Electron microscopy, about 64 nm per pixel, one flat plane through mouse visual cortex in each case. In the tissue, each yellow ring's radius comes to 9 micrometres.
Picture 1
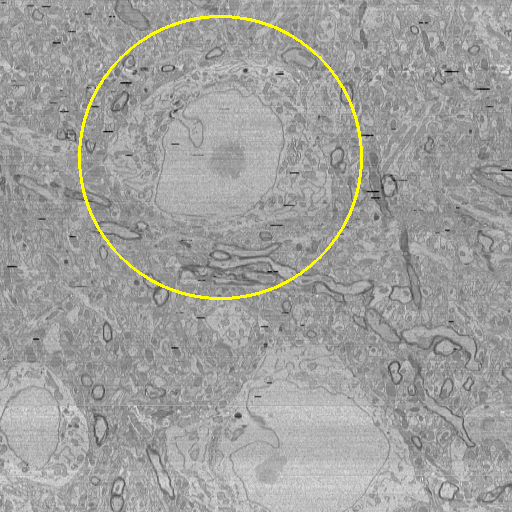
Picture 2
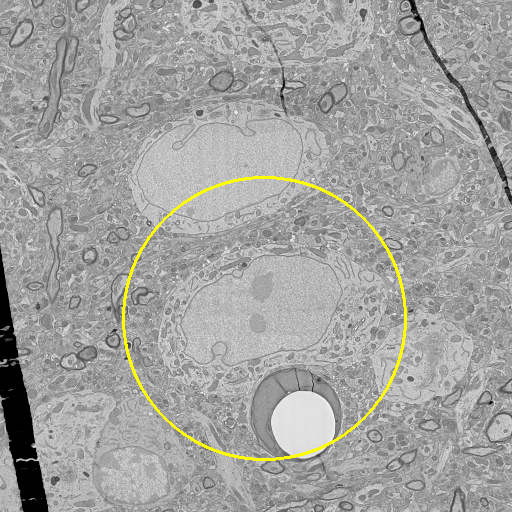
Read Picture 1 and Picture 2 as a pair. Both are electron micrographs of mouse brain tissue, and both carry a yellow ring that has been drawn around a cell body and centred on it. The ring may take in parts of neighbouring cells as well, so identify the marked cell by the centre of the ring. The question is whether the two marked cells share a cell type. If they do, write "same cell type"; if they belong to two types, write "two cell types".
same cell type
